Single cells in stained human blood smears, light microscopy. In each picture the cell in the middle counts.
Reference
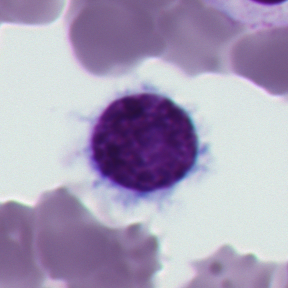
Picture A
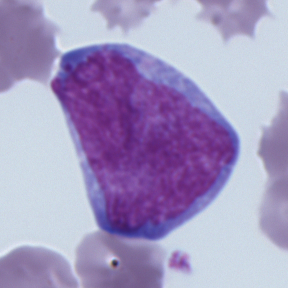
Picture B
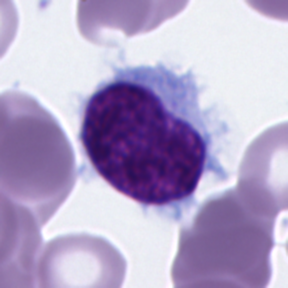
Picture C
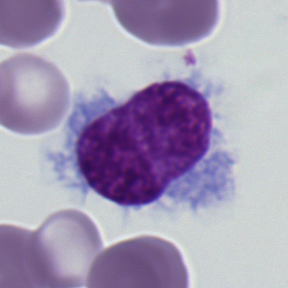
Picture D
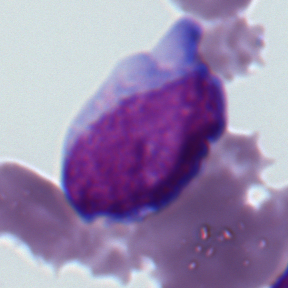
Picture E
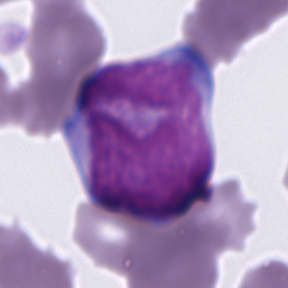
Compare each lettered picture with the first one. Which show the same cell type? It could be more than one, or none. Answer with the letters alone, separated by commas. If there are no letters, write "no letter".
B, C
